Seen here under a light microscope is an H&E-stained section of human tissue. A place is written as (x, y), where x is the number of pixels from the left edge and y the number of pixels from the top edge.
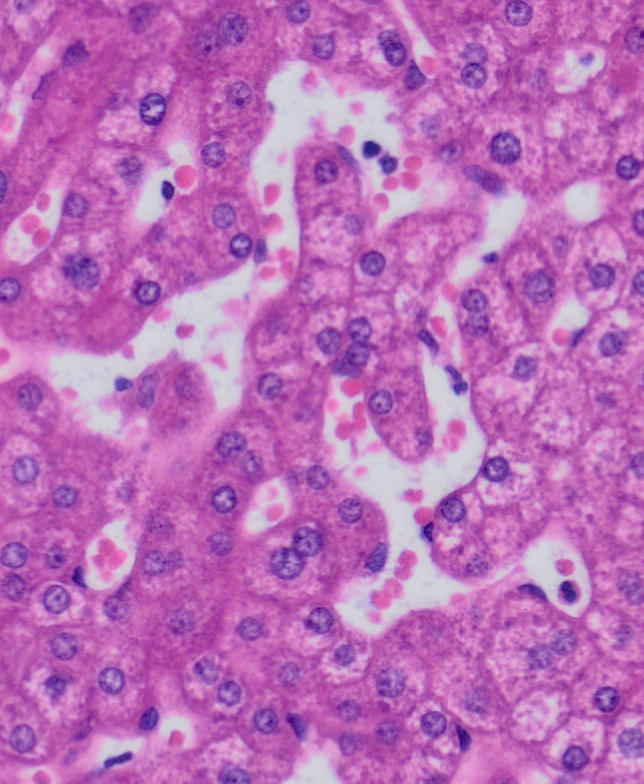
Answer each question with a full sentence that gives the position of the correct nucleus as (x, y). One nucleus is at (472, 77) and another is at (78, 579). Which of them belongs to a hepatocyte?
The nucleus found at (472, 77) belongs to a hepatocyte.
